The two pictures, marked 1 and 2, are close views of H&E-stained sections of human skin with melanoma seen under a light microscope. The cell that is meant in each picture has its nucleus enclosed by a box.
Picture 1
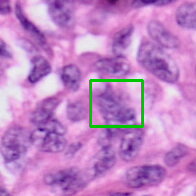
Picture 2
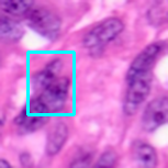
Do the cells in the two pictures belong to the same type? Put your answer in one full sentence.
Yes; the cells in both pictures are melanoma cells.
